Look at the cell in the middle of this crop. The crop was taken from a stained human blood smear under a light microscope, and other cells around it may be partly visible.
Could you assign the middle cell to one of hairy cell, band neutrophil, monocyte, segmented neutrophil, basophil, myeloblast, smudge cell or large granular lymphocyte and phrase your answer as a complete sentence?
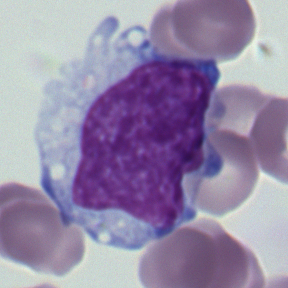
By classification, the middle cell of this crop is a myeloblast.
